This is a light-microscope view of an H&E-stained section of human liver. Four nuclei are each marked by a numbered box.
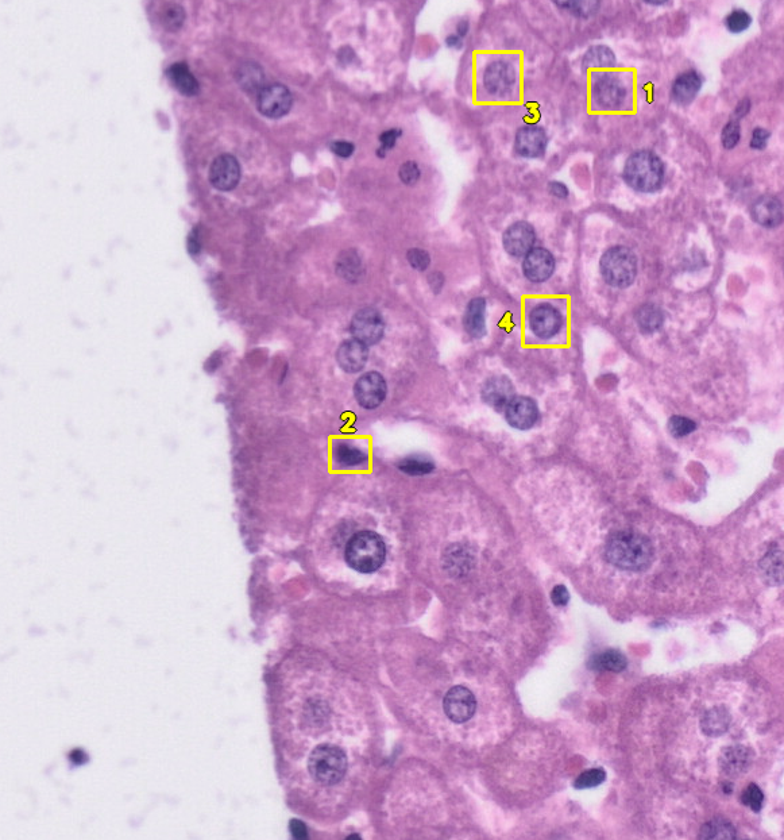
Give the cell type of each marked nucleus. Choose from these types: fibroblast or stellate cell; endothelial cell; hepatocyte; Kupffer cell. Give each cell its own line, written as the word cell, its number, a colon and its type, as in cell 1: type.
cell 1: hepatocyte
cell 2: fibroblast or stellate cell
cell 3: hepatocyte
cell 4: hepatocyte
